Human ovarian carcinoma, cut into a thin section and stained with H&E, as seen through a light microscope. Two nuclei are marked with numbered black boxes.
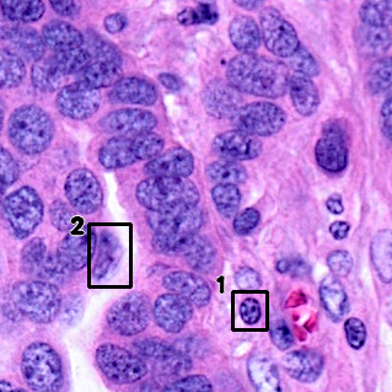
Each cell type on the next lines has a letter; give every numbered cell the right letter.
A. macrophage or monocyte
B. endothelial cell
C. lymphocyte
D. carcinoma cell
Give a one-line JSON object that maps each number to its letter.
{"1": "C", "2": "D"}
